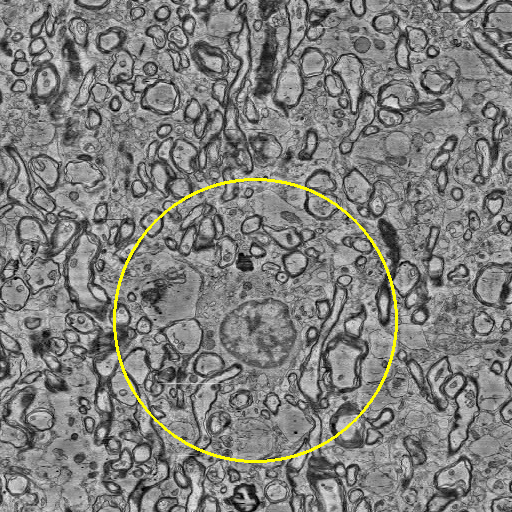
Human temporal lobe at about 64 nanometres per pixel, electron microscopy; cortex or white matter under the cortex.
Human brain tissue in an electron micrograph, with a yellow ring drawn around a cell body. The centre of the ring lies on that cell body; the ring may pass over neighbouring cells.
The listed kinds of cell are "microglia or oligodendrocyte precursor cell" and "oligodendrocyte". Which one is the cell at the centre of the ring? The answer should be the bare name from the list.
oligodendrocyte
